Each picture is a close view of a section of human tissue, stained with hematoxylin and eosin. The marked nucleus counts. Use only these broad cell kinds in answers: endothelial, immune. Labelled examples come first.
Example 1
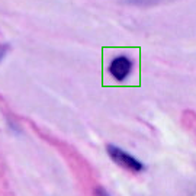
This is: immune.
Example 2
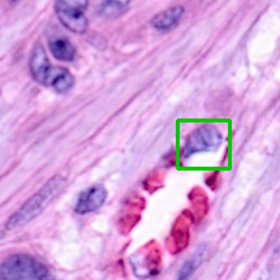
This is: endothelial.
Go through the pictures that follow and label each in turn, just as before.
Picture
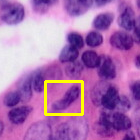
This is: endothelial.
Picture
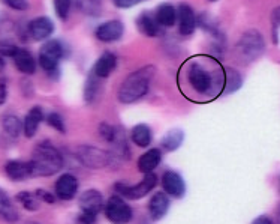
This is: endothelial.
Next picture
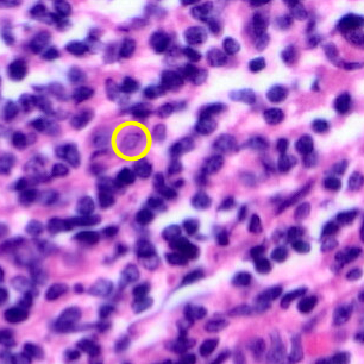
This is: endothelial.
